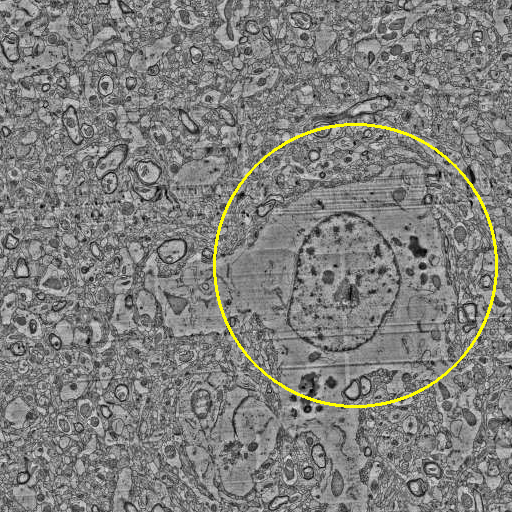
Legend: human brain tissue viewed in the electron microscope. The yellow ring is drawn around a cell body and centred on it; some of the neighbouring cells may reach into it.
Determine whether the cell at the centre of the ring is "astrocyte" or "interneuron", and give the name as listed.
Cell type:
astrocyte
